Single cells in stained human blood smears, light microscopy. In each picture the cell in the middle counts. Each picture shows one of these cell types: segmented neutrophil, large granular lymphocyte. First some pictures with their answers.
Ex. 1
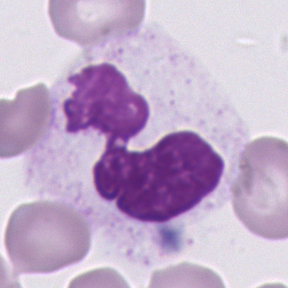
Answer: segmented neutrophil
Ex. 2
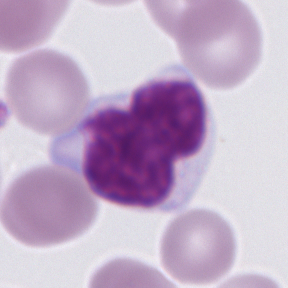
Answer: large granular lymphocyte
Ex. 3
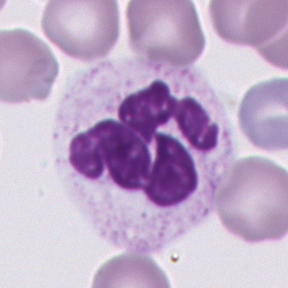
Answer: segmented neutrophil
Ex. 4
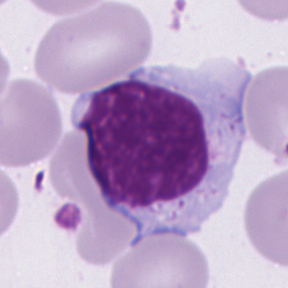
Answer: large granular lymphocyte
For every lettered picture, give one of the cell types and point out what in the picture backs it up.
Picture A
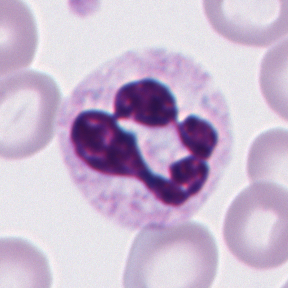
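Label: segmented neutrophil. The cytoplasm is abundant and pale pinkish-lilac.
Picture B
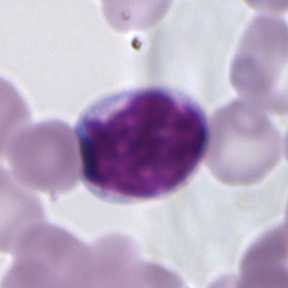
Label: large granular lymphocyte. The cytoplasm forms only a narrow rim that is widest on the left side.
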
